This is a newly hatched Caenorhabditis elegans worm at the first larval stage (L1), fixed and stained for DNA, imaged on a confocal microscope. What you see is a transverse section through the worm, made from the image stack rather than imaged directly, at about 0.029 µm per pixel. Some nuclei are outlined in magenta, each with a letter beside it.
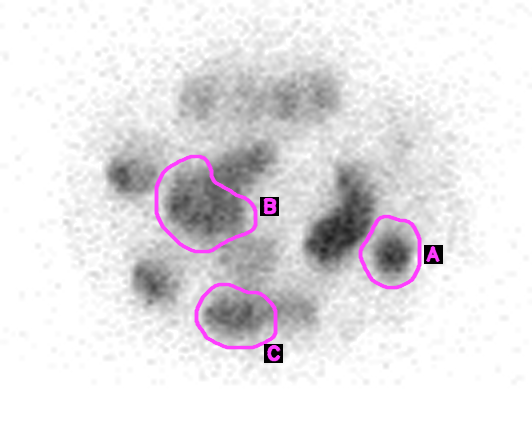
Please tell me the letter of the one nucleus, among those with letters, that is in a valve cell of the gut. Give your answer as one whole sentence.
It is B that belongs to a valve cell of the gut.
